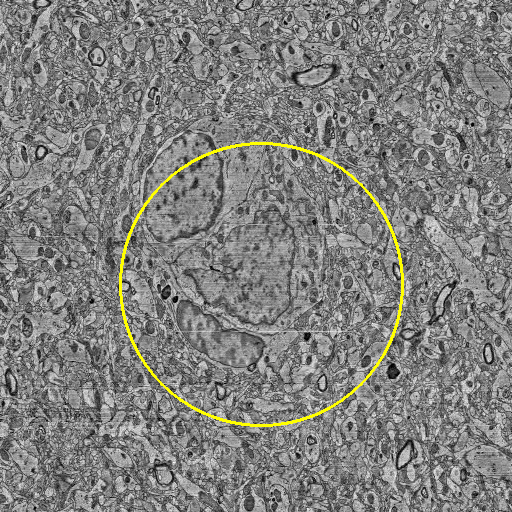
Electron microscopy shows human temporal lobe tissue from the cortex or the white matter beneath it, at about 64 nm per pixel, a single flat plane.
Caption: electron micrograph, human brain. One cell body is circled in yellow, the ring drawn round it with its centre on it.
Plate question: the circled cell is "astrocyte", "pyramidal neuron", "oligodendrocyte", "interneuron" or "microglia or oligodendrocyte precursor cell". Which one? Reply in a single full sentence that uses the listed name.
The yellow ring on the plate is centred on an interneuron, going by the listed names.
